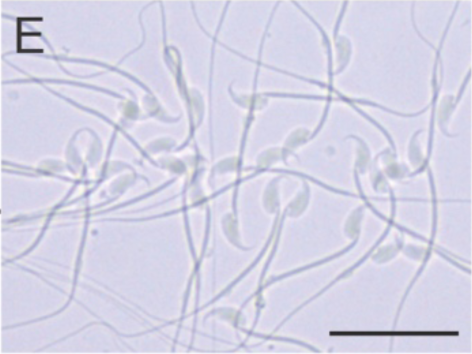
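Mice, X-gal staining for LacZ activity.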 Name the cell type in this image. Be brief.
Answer: Matured sperm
